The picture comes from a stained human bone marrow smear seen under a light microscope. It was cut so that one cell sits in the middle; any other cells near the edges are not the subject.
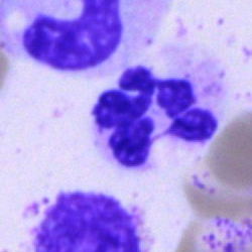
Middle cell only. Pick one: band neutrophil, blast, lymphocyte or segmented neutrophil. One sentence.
Whatever else lies nearby, the middle cell is a segmented neutrophil.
